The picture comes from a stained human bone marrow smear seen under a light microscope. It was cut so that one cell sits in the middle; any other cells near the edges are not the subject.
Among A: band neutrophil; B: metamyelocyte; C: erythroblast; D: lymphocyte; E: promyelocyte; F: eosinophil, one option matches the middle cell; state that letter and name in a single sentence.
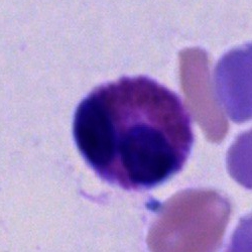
The cell in the centre of the crop is an eosinophil, so option F is the correct one.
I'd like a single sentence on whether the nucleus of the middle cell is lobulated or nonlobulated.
The nucleus is segmented, with two or more lobes present.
